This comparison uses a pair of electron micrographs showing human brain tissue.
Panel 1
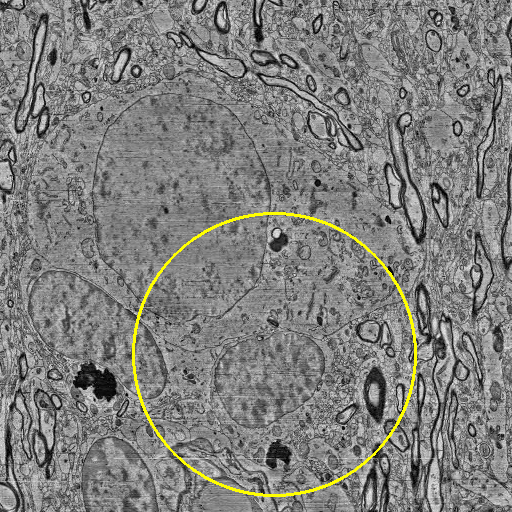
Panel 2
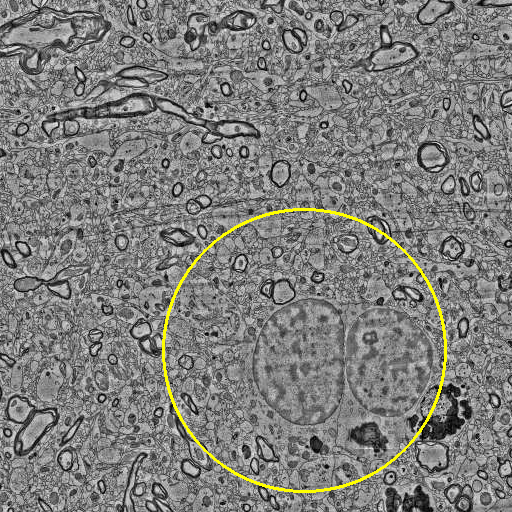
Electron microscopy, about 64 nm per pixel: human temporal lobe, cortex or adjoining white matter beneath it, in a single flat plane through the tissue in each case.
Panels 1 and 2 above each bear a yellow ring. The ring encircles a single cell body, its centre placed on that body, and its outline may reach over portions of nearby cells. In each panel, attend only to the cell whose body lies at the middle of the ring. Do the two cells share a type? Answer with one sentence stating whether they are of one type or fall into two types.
In Panel 1 and Panel 2, the cells at the centres of the rings are of one type.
